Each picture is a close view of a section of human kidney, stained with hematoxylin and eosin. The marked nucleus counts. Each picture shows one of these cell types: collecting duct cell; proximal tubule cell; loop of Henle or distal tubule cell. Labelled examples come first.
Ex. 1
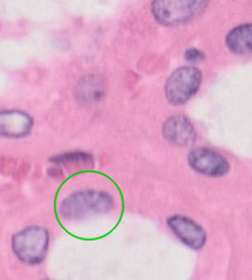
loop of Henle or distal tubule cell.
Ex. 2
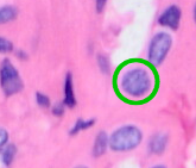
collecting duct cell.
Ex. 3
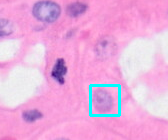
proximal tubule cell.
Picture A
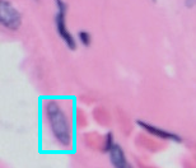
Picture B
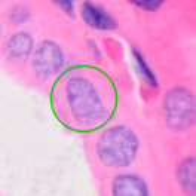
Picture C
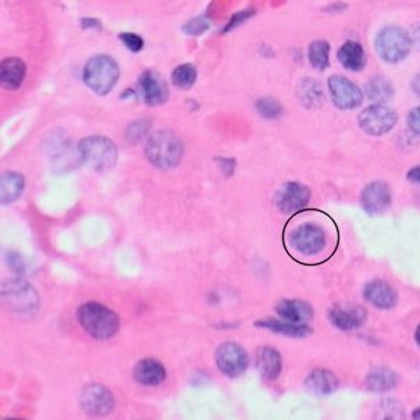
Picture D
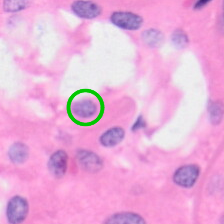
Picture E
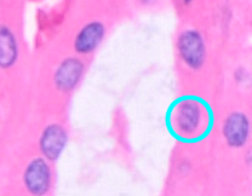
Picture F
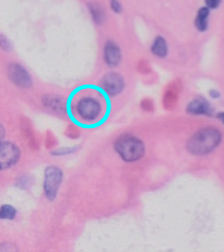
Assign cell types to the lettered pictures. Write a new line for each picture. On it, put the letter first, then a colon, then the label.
A: loop of Henle or distal tubule cell.
B: collecting duct cell.
C: loop of Henle or distal tubule cell.
D: loop of Henle or distal tubule cell.
E: loop of Henle or distal tubule cell.
F: collecting duct cell.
